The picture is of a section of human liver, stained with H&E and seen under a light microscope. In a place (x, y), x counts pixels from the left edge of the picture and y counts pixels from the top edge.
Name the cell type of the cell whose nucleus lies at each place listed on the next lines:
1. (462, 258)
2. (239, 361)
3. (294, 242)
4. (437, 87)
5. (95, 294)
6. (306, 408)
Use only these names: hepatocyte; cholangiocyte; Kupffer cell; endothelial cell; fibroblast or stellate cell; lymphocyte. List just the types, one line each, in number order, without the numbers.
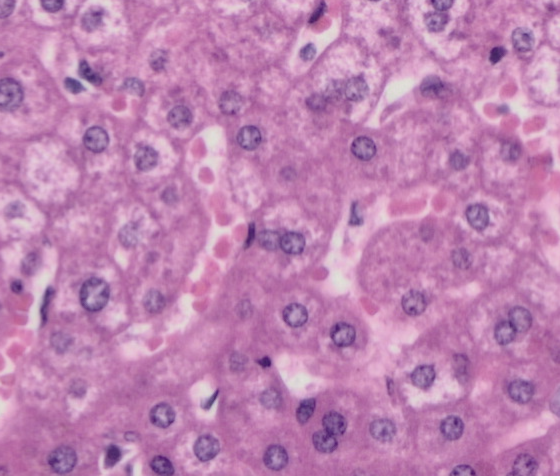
hepatocyte
hepatocyte
hepatocyte
Kupffer cell
hepatocyte
fibroblast or stellate cell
